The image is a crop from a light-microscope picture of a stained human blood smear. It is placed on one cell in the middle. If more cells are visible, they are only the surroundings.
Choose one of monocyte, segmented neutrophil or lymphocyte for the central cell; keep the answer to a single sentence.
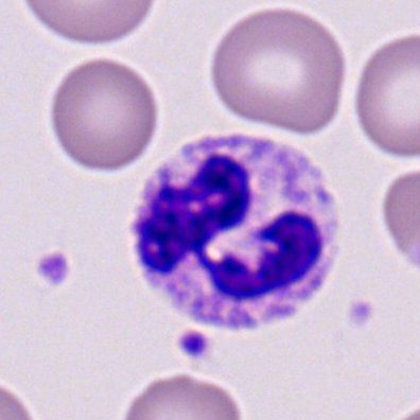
The cell featured at the centre of this crop is a segmented neutrophil.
